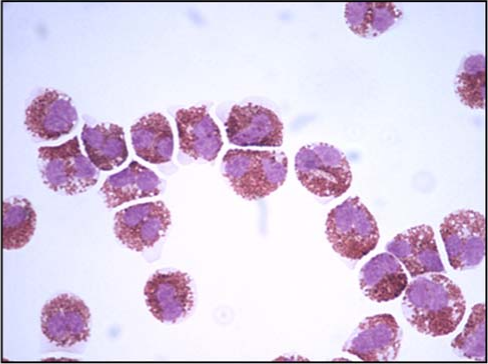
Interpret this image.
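Purple nuclei occupy much of each cell, and several show two lobes, while the granules scatter over and around them. A few cells lie alone at the edges of the field. The cells look uniform in size and staining, and the pale background holds no red blood cells and almost no other cells.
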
